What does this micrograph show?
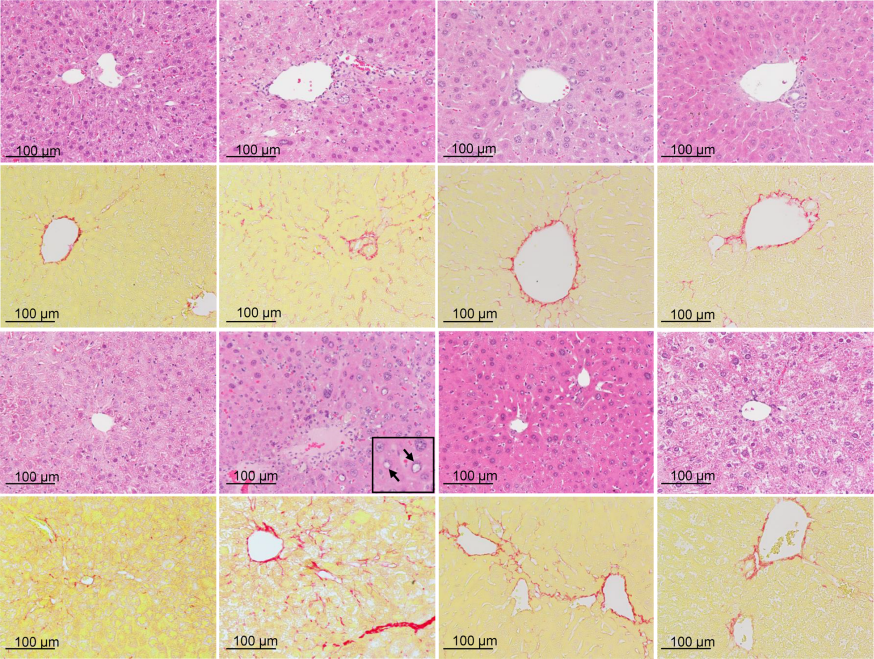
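Liver tissue in a grid of sections. In the pink-and-purple images, polygonal hepatocytes with round central nuclei and pink cytoplasm form sheets and cords around round vascular lumina. In some sections the tissue is more irregular, with small dark nuclei clustered around the vessels. An inset shows hepatocyte nuclei that look cleared and vacuolated. In the sections on a yellow background, red fibres mostly form a thin rim around the vessels. In one section, red strands extend out from the vessels as a network between the cell cords and as a thick band, in keeping with fibrosis.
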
